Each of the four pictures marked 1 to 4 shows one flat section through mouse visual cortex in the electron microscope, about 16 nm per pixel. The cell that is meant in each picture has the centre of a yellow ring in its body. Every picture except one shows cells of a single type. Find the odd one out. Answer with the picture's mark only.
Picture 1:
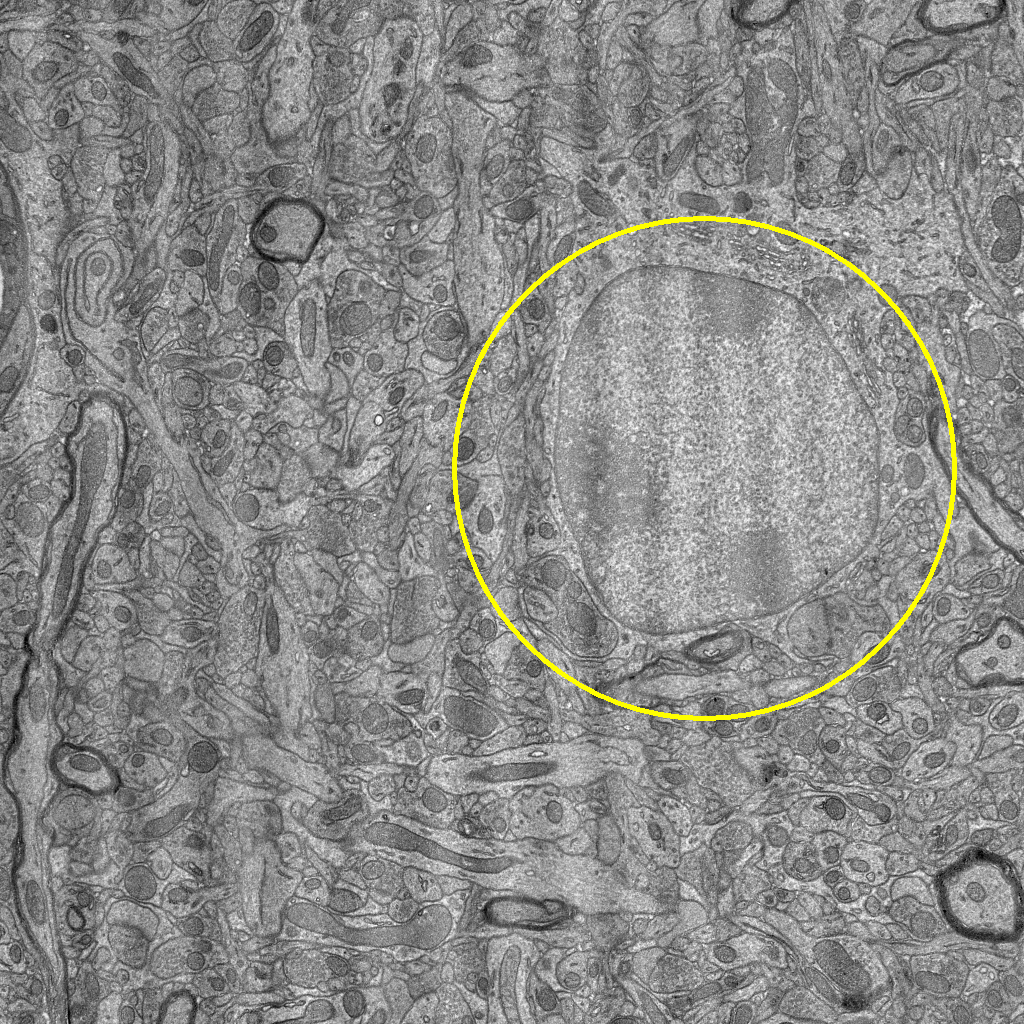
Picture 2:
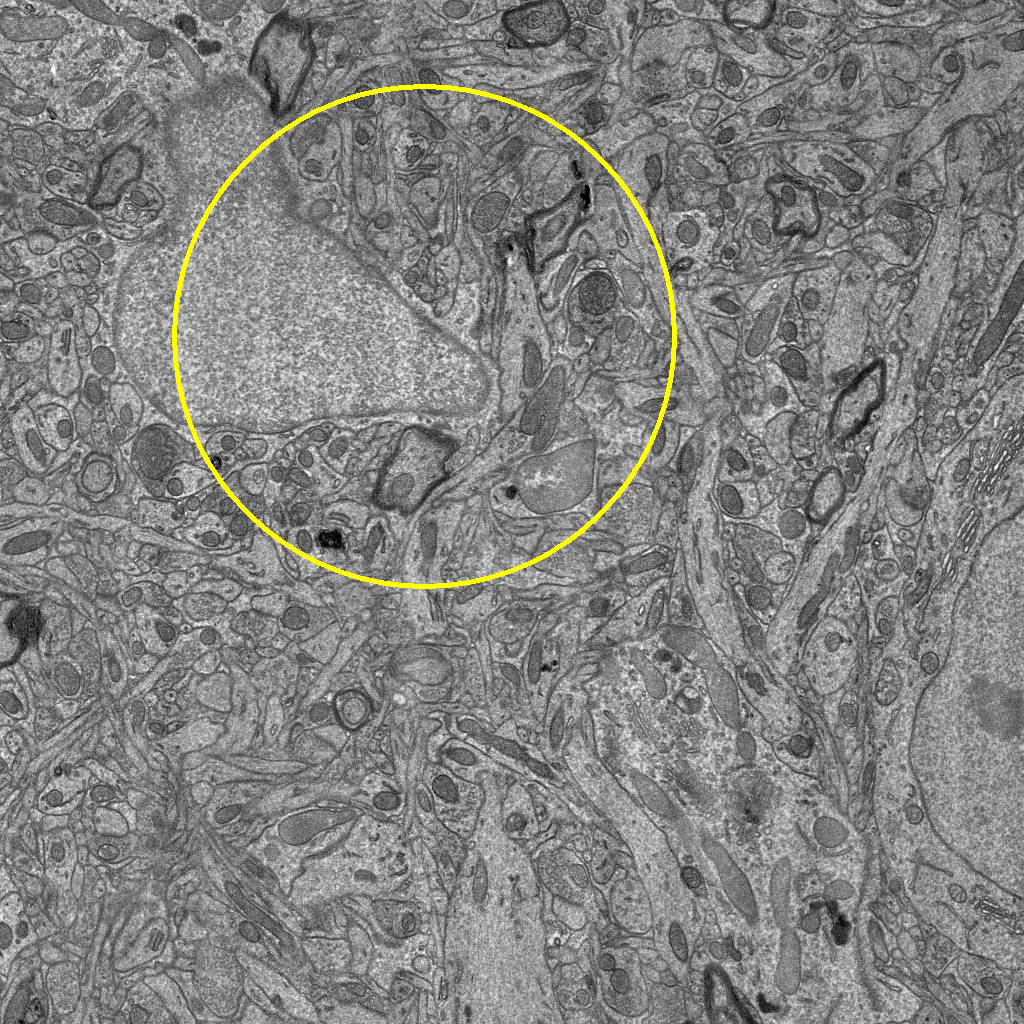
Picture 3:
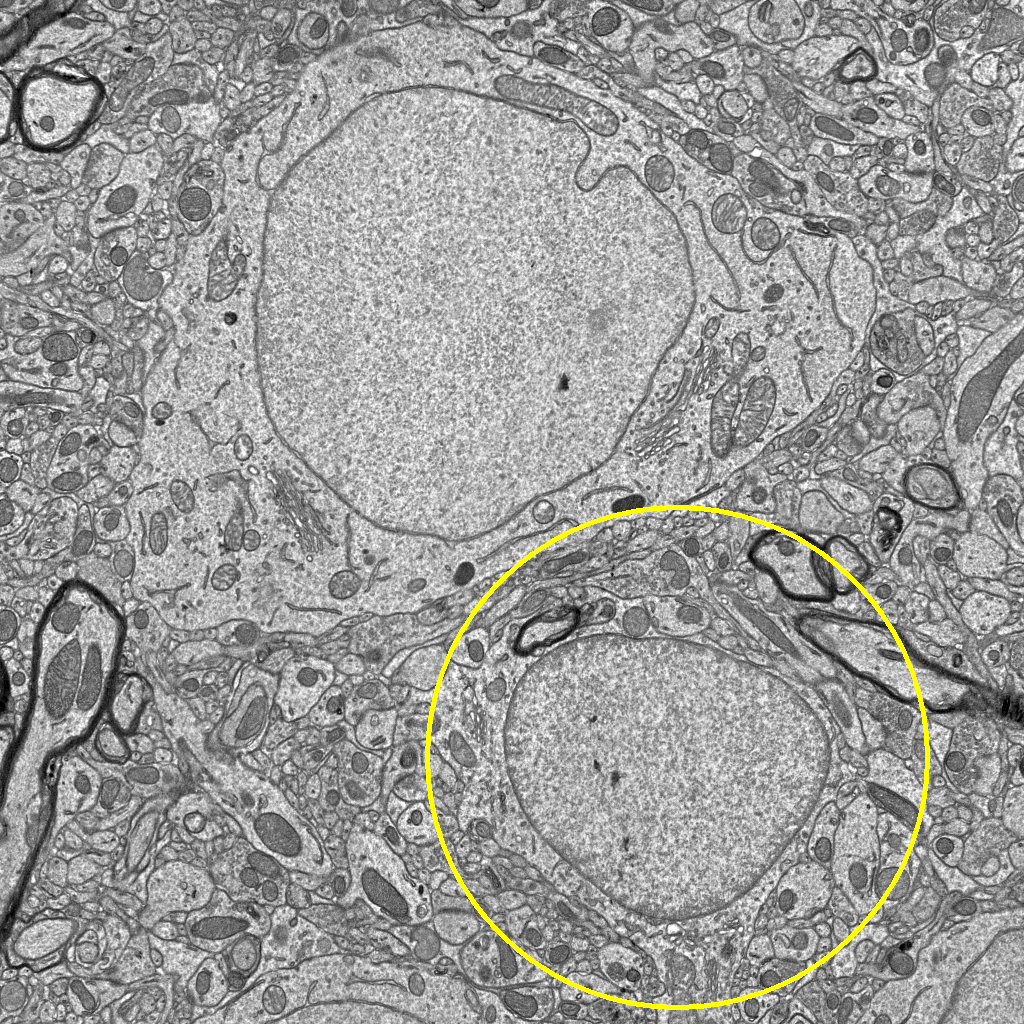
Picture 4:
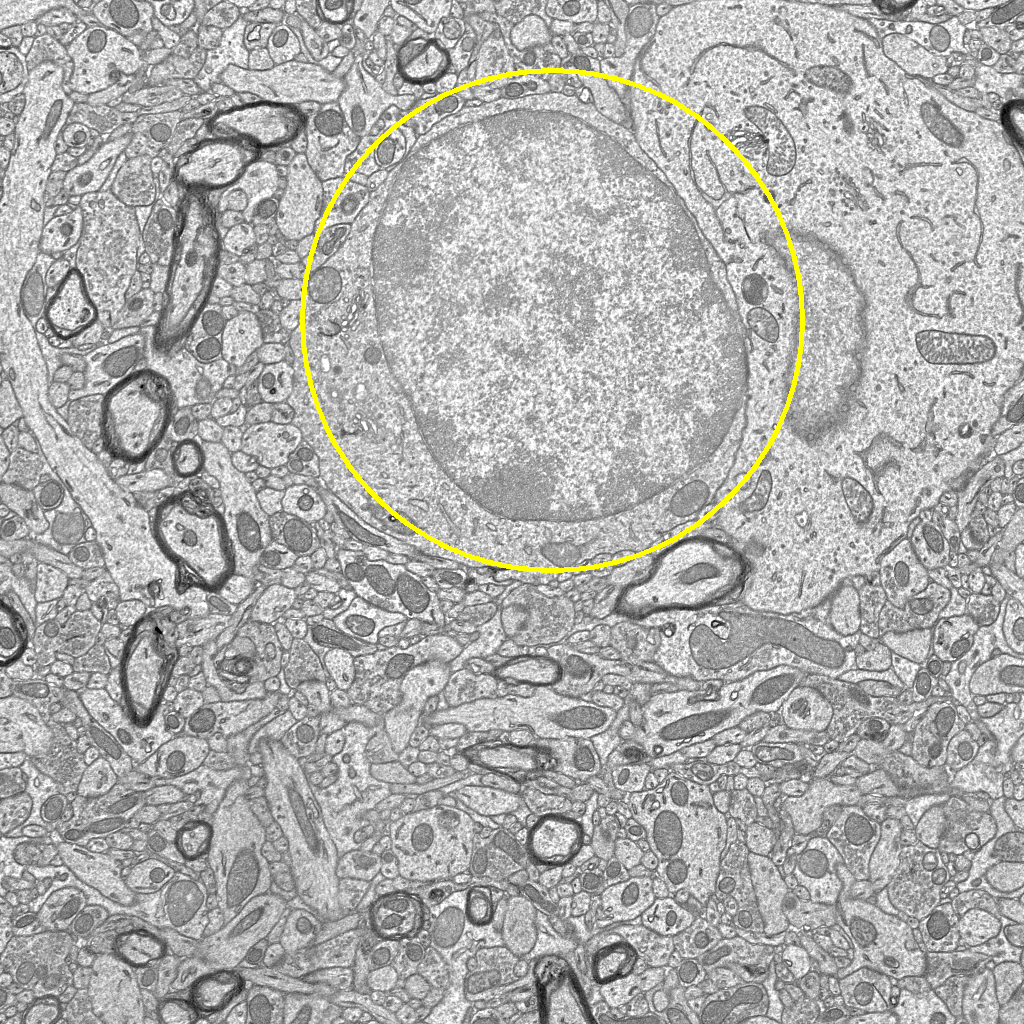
4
